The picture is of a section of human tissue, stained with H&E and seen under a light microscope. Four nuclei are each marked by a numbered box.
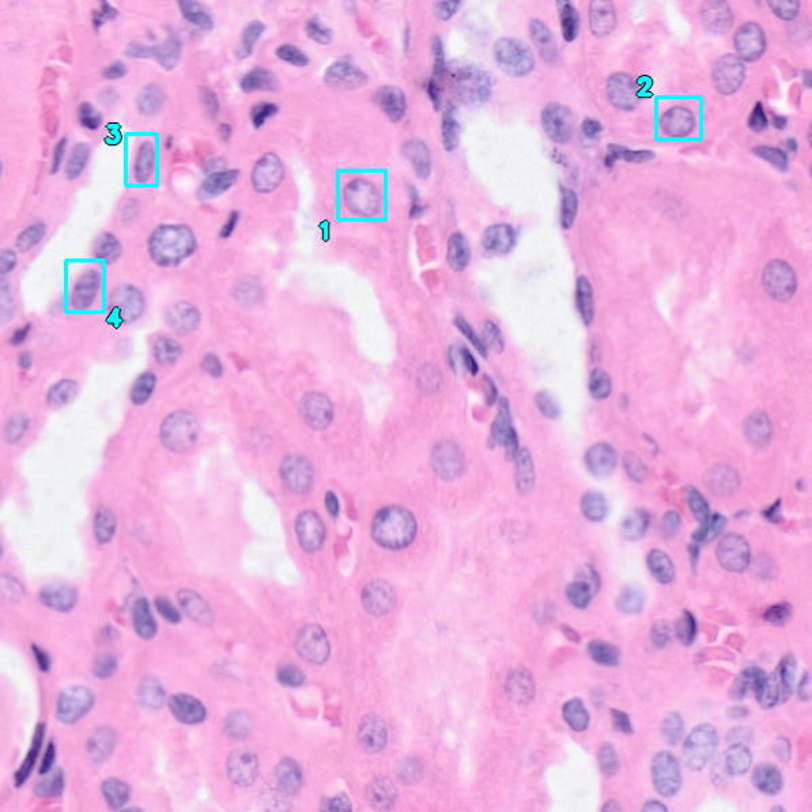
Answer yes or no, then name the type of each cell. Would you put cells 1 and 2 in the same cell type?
Yes, both are proximal tubule cells.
